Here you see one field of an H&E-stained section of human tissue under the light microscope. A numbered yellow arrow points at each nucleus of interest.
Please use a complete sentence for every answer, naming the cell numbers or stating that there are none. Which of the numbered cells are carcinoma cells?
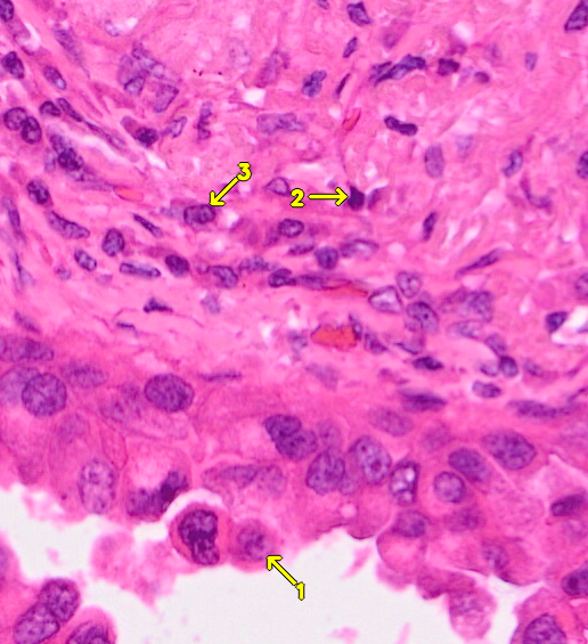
Among the numbered cells, a carcinoma cell occurs only once, as cell 1.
